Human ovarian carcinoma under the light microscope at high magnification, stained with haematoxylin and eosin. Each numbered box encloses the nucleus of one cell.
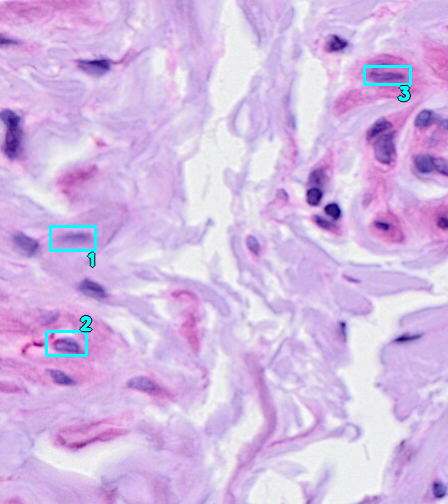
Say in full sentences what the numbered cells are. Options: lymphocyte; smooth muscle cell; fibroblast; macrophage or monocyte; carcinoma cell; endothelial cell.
Cell 1 is a fibroblast. Cell 2 is an endothelial cell. Cell 3 is a smooth muscle cell.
